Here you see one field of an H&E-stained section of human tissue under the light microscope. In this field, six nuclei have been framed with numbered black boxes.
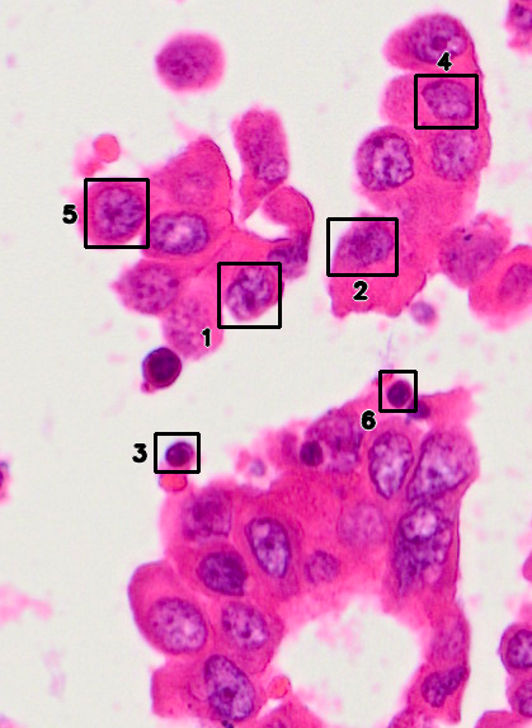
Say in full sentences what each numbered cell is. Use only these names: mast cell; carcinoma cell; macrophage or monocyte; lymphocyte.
Cell 1 is a carcinoma cell, cell 2 is a carcinoma cell, cell 3 is a lymphocyte, cell 4 is a carcinoma cell, cell 5 is a carcinoma cell and cell 6 is a lymphocyte.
